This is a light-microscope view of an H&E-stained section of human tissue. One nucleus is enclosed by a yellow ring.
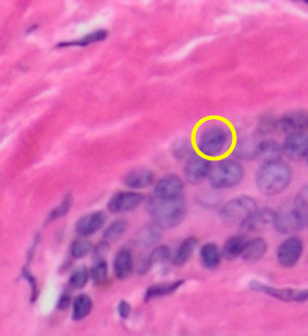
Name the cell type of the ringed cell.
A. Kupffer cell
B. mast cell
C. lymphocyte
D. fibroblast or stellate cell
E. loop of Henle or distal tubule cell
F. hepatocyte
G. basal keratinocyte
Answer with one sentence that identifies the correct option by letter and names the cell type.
Given that the ringed cell is a basal keratinocyte, option G is the correct one.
